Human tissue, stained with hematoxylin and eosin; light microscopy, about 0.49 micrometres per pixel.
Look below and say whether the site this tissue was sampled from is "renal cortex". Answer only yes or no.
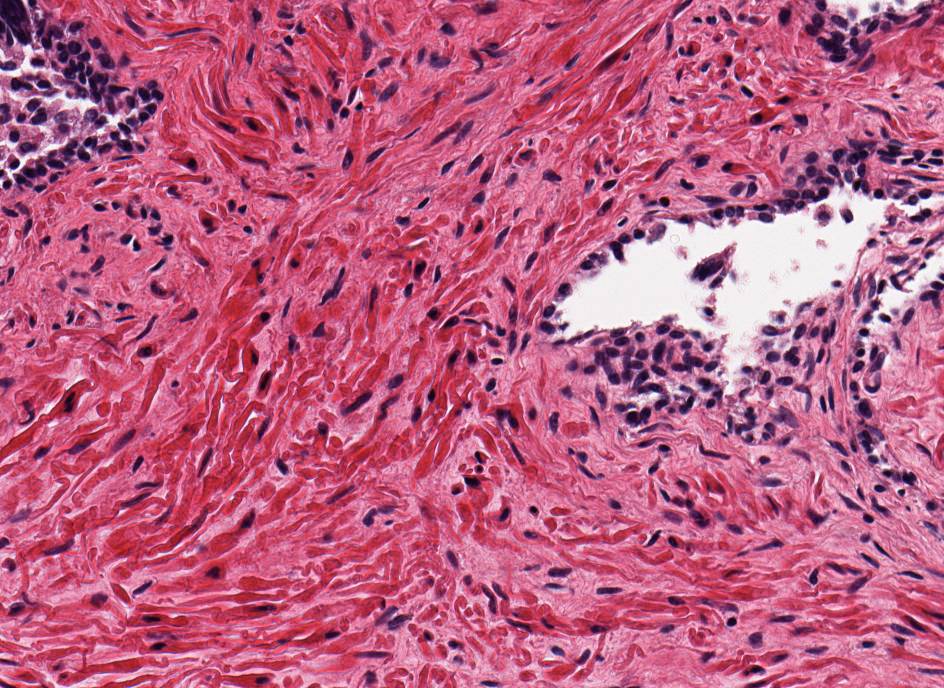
no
